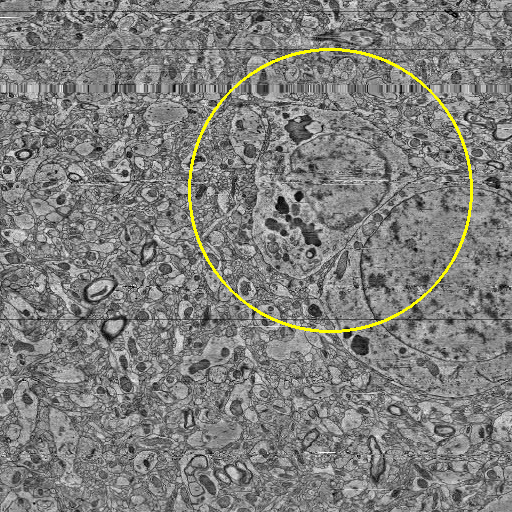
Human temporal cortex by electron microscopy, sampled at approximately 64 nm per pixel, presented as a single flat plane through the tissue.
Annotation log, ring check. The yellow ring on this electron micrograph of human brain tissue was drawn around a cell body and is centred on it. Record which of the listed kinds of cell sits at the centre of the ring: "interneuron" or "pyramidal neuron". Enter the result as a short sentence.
The cell at the centre of the ring is an interneuron.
